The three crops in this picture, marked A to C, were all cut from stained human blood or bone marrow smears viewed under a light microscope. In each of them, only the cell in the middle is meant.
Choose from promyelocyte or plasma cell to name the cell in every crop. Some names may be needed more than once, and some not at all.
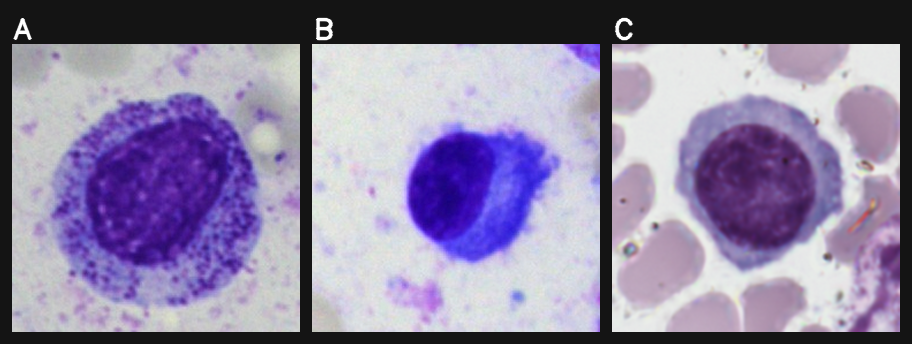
A: promyelocyte
B: plasma cell
C: plasma cell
